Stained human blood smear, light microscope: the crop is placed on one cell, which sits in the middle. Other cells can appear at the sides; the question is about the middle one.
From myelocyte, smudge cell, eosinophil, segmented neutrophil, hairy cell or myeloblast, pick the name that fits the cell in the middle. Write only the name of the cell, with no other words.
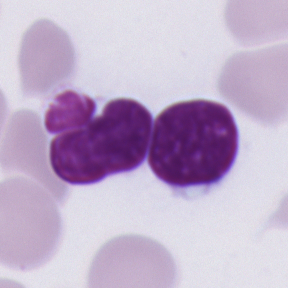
myeloblast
